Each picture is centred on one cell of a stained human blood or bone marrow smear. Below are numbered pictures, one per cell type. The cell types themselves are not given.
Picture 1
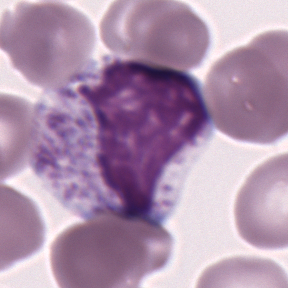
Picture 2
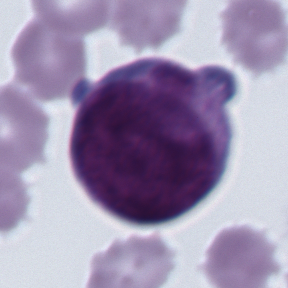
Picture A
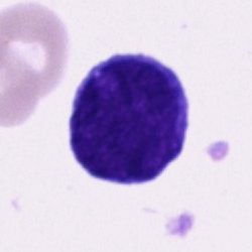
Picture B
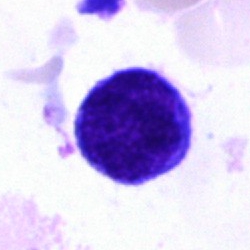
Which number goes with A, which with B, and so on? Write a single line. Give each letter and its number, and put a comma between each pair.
A 2, B 2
